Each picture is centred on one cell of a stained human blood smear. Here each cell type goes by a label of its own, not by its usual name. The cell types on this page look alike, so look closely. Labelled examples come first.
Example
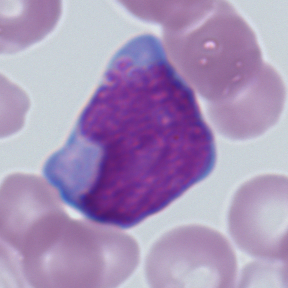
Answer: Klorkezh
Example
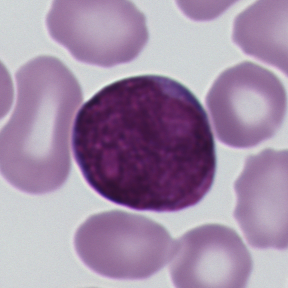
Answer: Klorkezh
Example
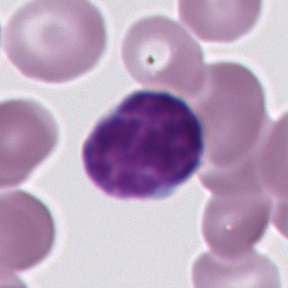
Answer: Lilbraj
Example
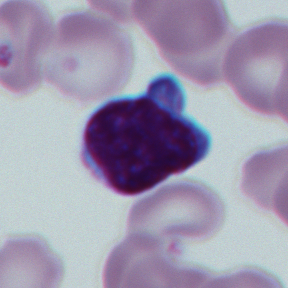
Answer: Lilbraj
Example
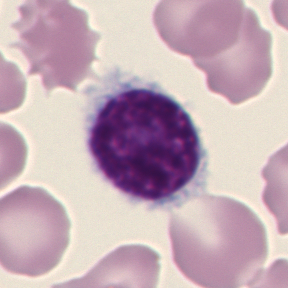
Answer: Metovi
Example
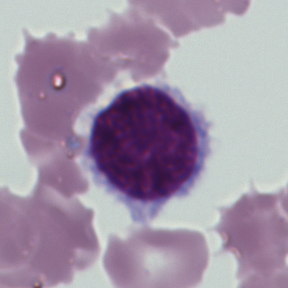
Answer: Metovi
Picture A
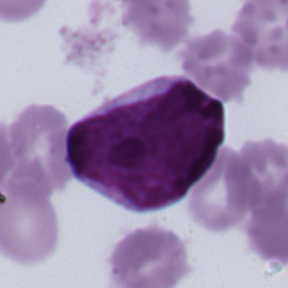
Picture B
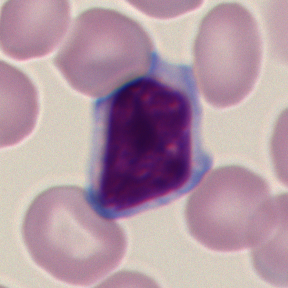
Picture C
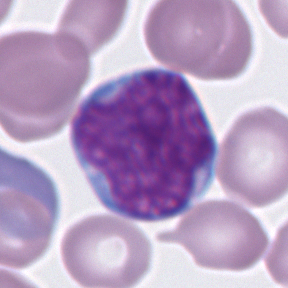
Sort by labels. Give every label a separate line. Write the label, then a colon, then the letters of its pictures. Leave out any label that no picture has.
Klorkezh: A, C
Lilbraj: B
